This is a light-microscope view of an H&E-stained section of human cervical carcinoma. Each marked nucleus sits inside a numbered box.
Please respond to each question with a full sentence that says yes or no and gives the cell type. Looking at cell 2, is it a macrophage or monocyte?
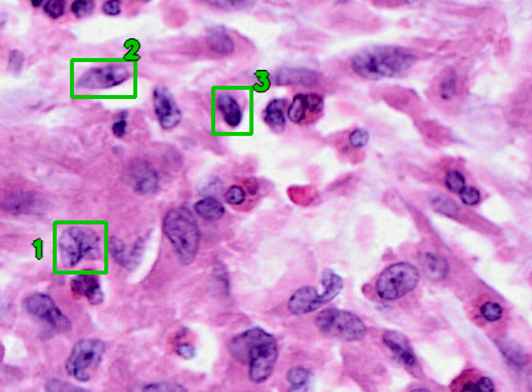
Yes, number 2 in this section denotes a macrophage or monocyte.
